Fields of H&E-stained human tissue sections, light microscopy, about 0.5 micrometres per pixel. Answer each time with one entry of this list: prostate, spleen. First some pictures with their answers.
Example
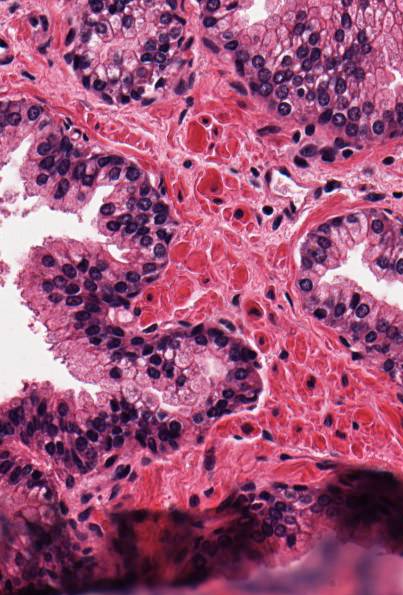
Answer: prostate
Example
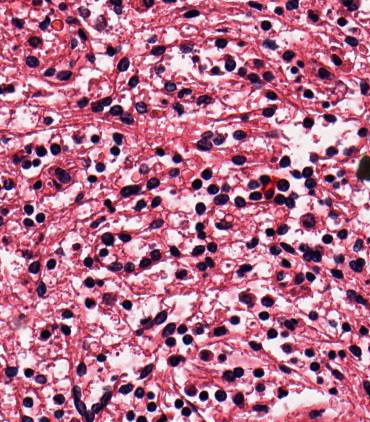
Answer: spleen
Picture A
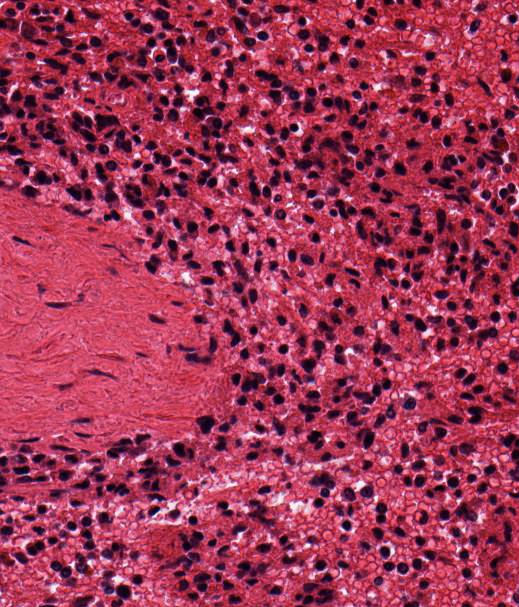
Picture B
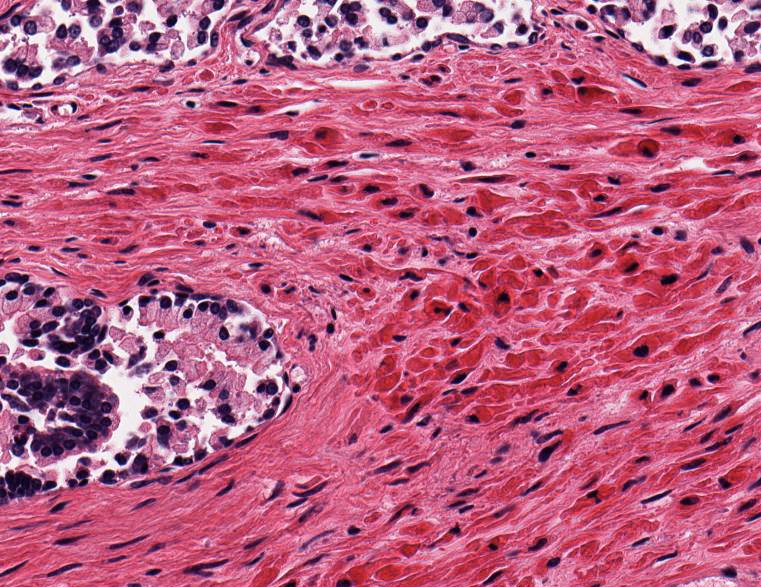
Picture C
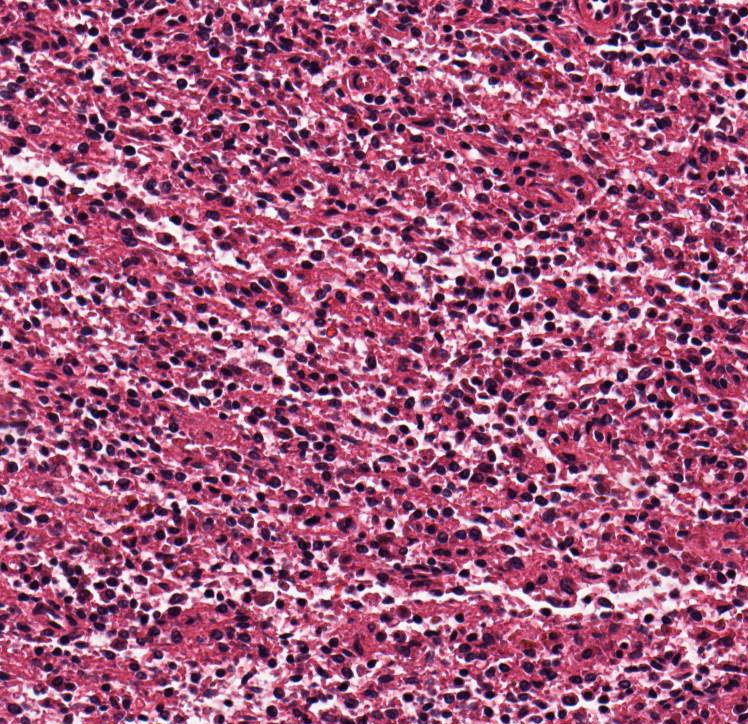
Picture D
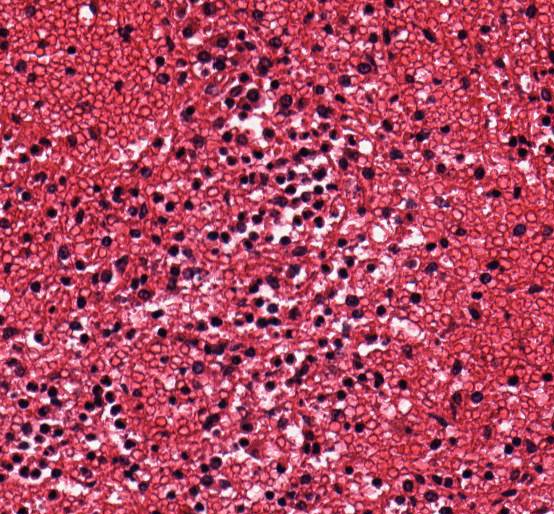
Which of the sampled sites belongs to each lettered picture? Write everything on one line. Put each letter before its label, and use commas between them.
A spleen, B prostate, C spleen, D spleen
